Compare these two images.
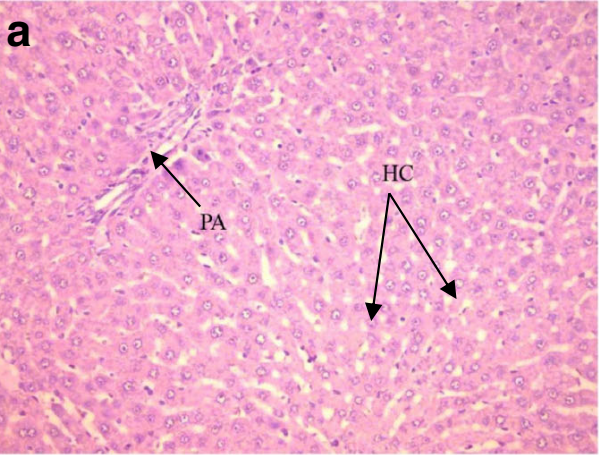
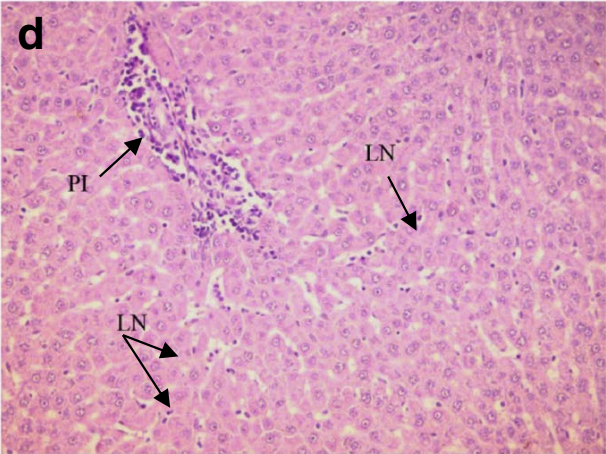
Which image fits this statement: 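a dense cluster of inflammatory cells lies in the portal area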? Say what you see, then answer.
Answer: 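Second image: the portal area holds a dense cluster of small, dark purple round nuclei. First image: the portal area shows only thin connective tissue with few scattered nuclei.
Hence: the second image.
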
